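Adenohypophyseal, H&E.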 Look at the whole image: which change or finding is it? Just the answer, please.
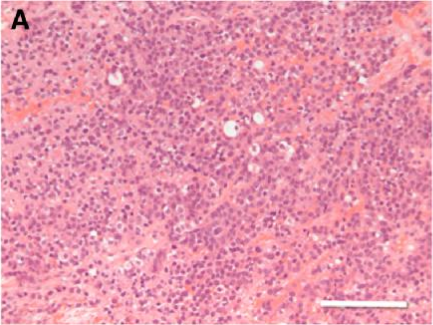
Vaguely lobular growth pattern.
